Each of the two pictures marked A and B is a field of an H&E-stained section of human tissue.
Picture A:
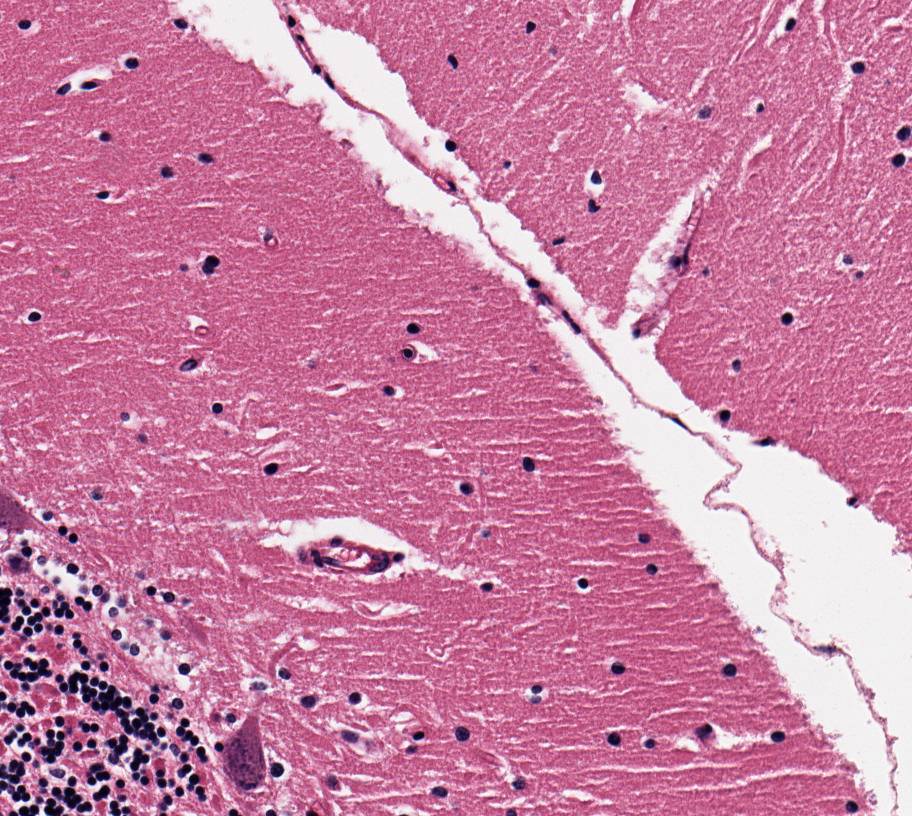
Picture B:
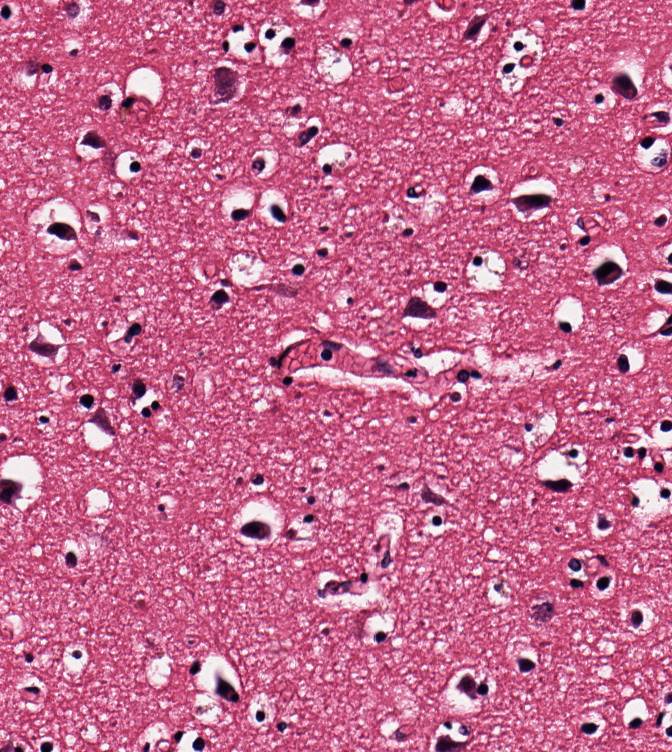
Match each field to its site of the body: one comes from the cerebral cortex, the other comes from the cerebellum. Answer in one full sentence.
It is picture A that comes from the cerebellum, and picture B that comes from the cerebral cortex.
